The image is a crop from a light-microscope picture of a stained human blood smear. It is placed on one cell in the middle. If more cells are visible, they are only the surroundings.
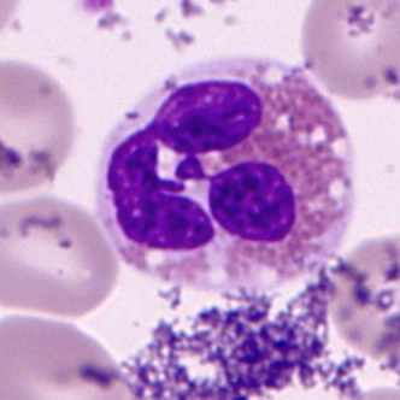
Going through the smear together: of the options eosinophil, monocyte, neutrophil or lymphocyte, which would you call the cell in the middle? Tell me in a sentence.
The cell in the middle of the field of view is an eosinophil.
